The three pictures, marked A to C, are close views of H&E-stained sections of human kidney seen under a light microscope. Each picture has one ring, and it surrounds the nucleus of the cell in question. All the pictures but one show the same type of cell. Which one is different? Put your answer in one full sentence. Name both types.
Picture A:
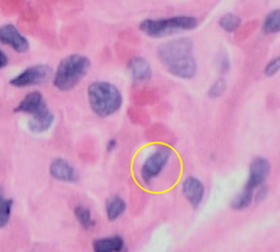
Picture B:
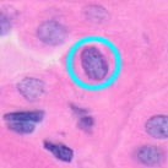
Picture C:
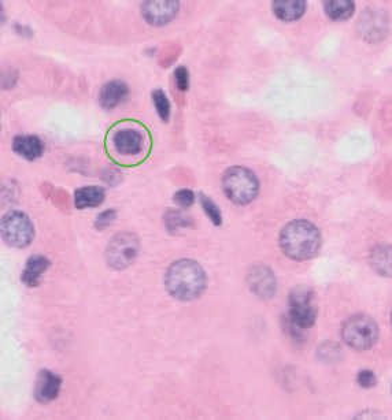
The others show “loop of Henle or distal tubule cells”, but picture A shows an endothelial cell.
